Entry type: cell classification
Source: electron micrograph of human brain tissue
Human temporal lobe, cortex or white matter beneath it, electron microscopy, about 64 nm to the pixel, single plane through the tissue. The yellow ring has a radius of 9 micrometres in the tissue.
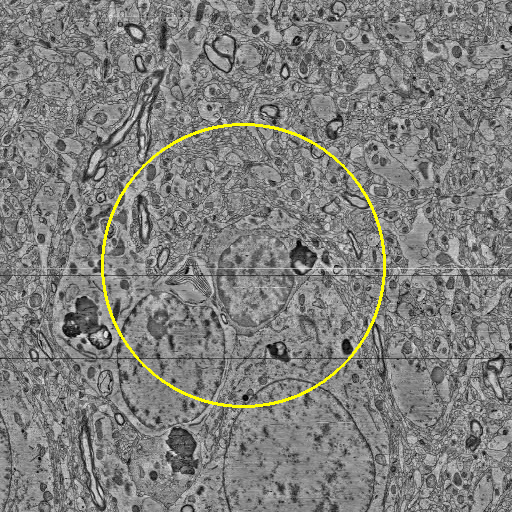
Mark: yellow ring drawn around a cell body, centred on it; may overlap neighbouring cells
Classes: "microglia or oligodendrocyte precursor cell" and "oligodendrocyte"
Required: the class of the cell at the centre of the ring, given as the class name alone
oligodendrocyte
